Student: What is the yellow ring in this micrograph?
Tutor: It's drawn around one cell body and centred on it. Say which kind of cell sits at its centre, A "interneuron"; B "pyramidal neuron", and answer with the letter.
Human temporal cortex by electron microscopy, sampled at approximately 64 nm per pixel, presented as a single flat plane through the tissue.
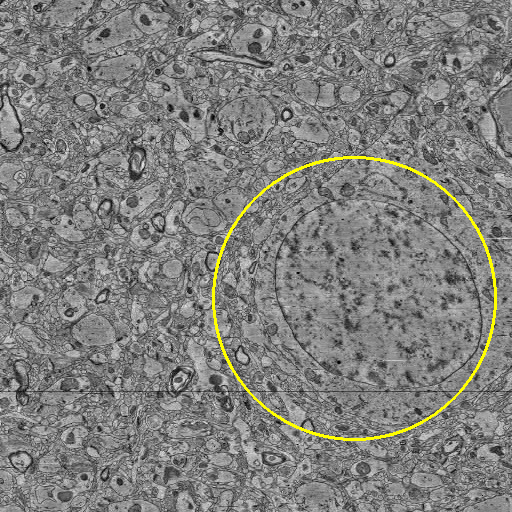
B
